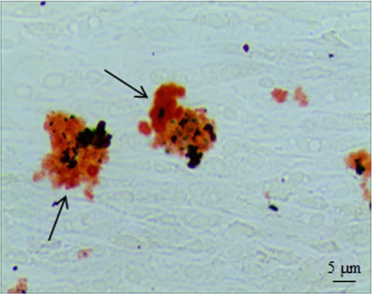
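Against a pale, nearly colourless background with faint rounded outlines, a few compact clusters stand out. Each cluster is made of many small, rounded droplets stained orange to red, packed closely together, with scattered dark granules among them. Smaller isolated orange specks lie nearby, and tiny dark dots are scattered across the field.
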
